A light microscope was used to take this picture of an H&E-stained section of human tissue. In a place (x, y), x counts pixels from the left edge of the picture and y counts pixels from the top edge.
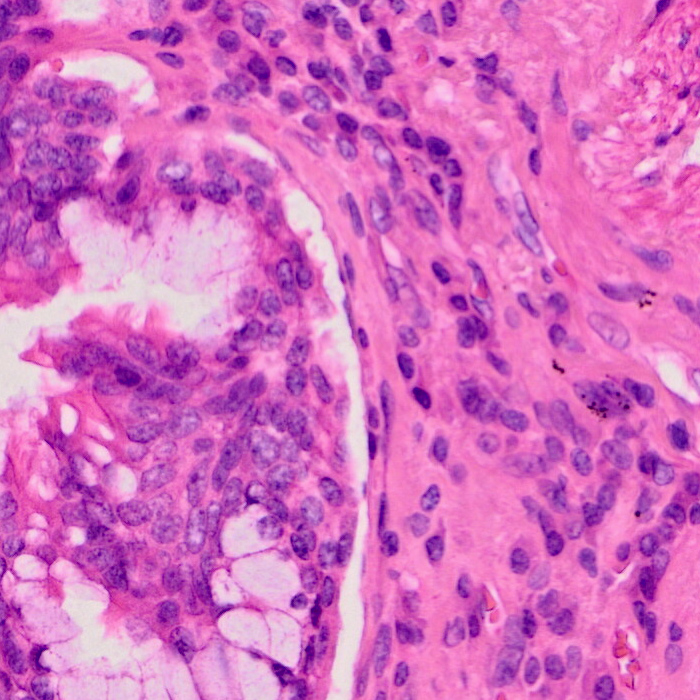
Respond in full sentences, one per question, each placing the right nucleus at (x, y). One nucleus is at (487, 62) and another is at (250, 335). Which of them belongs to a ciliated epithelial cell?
Of the two nuclei, it is the one at (250, 335) that lies within a ciliated epithelial cell.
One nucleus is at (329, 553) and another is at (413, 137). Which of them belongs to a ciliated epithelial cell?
The nucleus at (329, 553), rather than the other one, belongs to a ciliated epithelial cell.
